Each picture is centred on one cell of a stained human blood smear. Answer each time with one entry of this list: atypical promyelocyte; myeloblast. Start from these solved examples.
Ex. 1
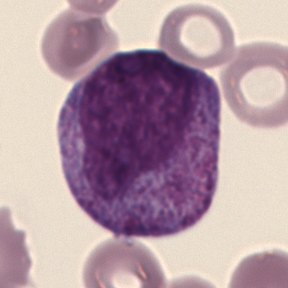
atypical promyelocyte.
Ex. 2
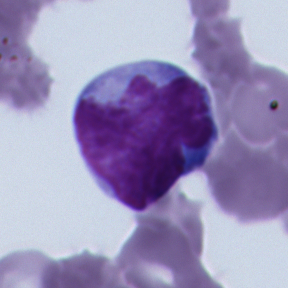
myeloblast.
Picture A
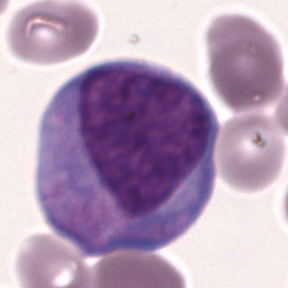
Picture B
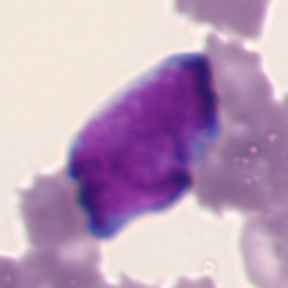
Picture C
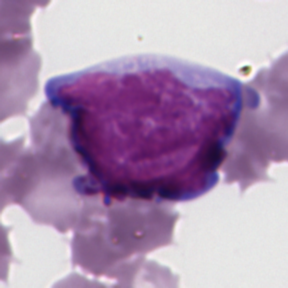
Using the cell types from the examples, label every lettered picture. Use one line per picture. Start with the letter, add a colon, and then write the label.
A: atypical promyelocyte.
B: myeloblast.
C: myeloblast.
